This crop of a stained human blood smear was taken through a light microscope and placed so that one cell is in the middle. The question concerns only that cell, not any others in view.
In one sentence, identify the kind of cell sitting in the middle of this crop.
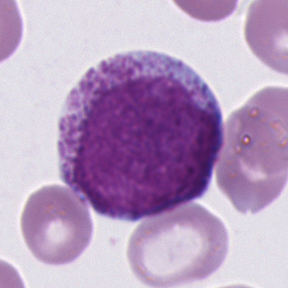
The cell marked by its central position in the crop is a myelocyte.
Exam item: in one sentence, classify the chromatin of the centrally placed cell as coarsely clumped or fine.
Chromatin texture is fine, and coarse clumps are absent.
